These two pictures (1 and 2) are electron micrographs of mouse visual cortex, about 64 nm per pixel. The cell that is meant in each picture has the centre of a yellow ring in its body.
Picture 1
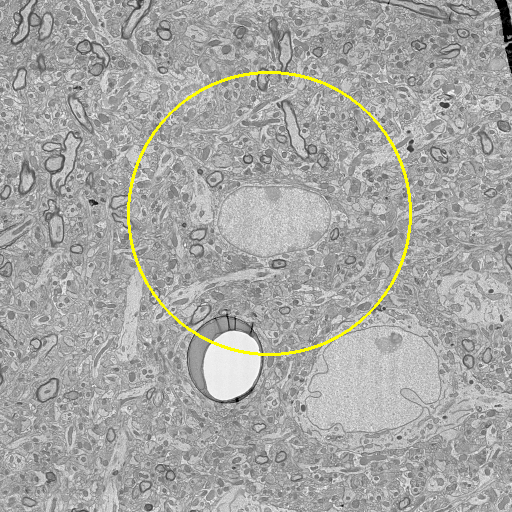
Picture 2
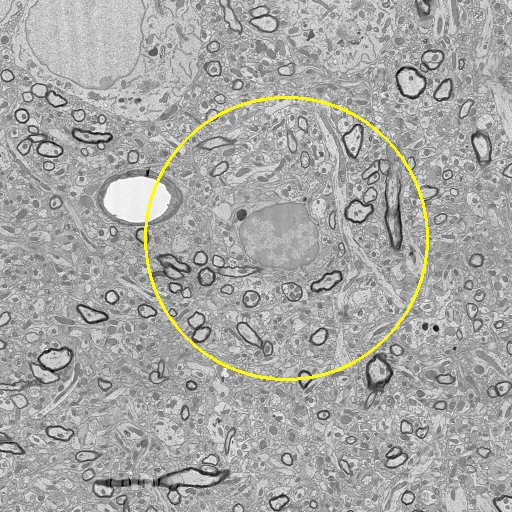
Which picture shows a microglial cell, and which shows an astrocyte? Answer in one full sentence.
Picture 1 is of an astrocyte, and picture 2 is of a microglial cell.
